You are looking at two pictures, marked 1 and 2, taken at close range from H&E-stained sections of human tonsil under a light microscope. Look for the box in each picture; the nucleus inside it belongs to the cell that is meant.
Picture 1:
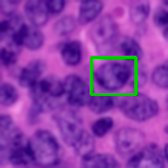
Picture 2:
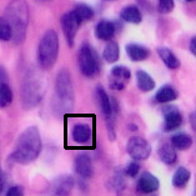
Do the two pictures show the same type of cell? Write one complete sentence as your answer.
No, picture 1 shows a proliferating B cell and picture 2 shows an endothelial cell.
